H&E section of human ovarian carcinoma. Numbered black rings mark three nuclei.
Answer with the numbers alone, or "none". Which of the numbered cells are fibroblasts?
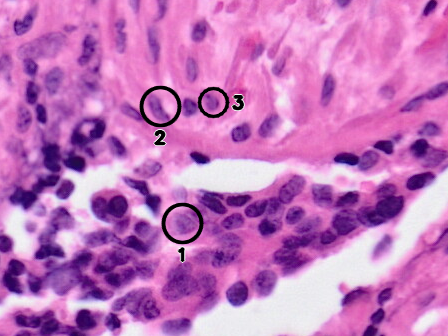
2, 3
